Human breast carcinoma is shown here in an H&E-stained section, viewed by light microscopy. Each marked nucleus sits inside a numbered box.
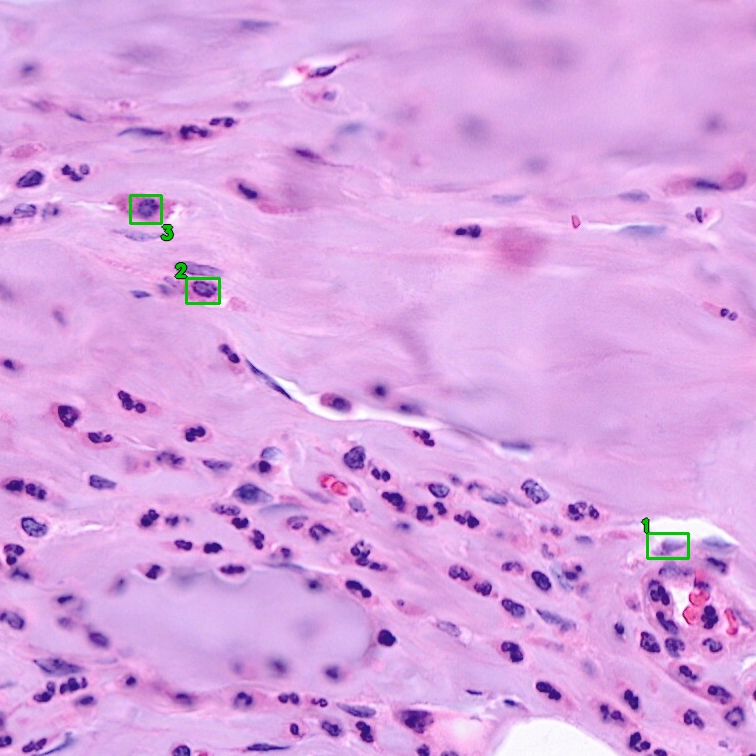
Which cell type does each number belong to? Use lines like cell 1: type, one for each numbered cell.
cell 1: fibroblast
cell 2: mast cell
cell 3: mast cell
